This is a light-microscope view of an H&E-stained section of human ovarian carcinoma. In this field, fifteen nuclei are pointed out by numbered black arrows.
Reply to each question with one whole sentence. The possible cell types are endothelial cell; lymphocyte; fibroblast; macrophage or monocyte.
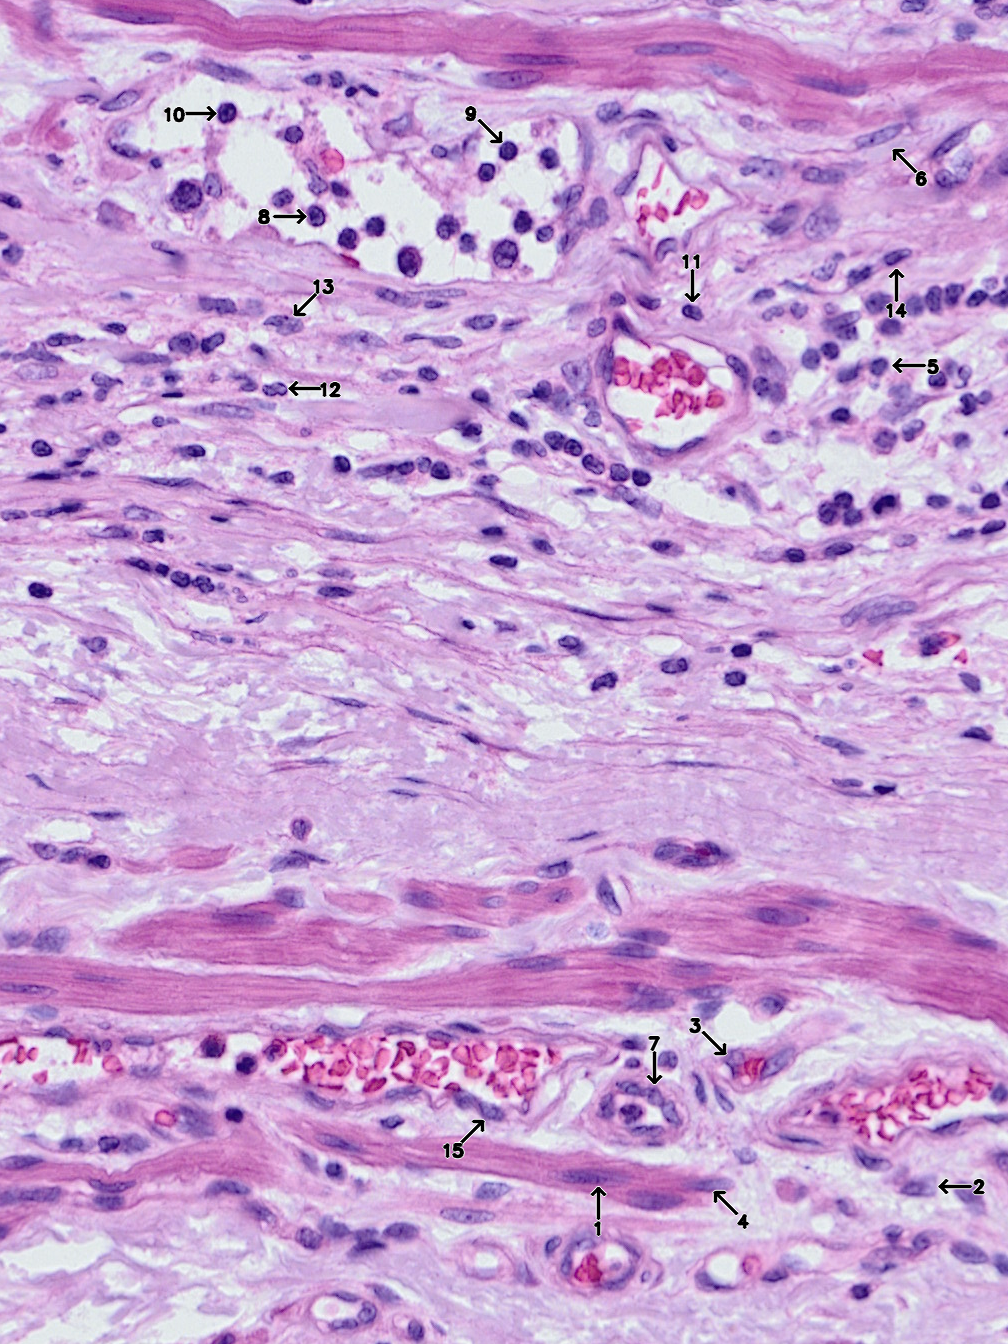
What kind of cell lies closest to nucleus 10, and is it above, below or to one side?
The nearest one is an endothelial cell, found above nucleus 10.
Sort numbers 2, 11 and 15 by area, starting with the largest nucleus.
The nuclei rank 2, 15, 11, from largest to smallest.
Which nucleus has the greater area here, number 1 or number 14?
Nucleus 1 covers more area, about 2 times as much as nucleus 14.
